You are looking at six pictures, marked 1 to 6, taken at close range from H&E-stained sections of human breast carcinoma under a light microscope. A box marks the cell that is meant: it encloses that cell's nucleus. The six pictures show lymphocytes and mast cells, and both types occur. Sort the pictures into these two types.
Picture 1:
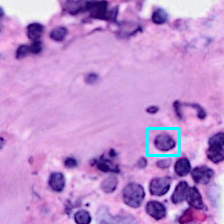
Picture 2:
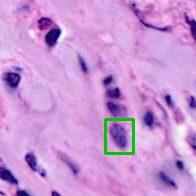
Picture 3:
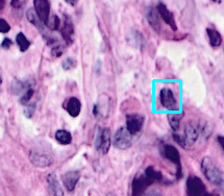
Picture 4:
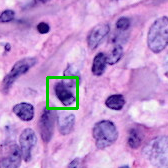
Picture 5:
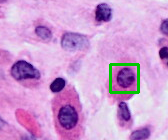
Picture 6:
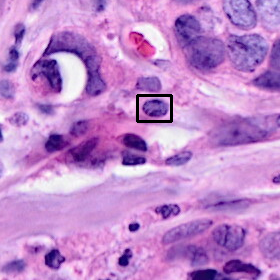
1: lymphocyte
2: mast cell
3: lymphocyte
4: lymphocyte
5: mast cell
6: mast cell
